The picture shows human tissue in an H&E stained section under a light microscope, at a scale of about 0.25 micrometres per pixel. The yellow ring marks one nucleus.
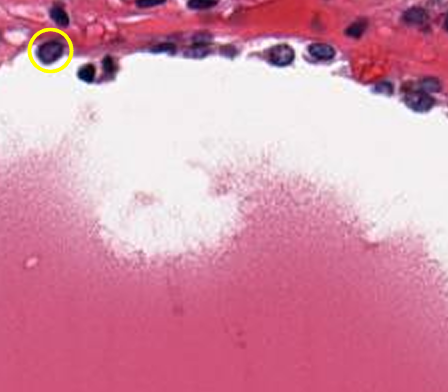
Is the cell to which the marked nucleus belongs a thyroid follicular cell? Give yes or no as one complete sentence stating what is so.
Yes, the marked nucleus belongs to a thyroid follicular cell.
